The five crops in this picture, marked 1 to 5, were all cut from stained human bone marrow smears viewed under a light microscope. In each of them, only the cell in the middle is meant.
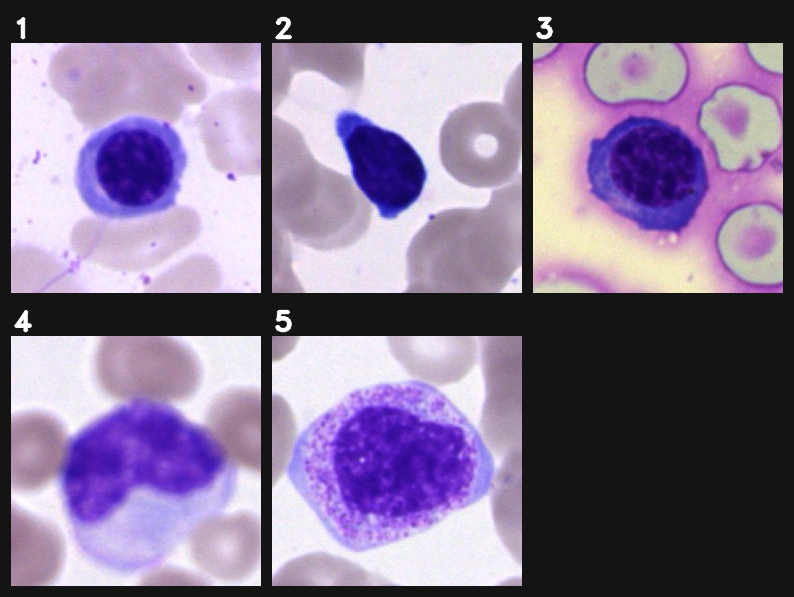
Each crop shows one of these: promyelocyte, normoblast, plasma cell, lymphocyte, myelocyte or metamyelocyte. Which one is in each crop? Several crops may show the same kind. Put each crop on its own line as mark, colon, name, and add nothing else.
1: normoblast
2: lymphocyte
3: normoblast
4: metamyelocyte
5: myelocyte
